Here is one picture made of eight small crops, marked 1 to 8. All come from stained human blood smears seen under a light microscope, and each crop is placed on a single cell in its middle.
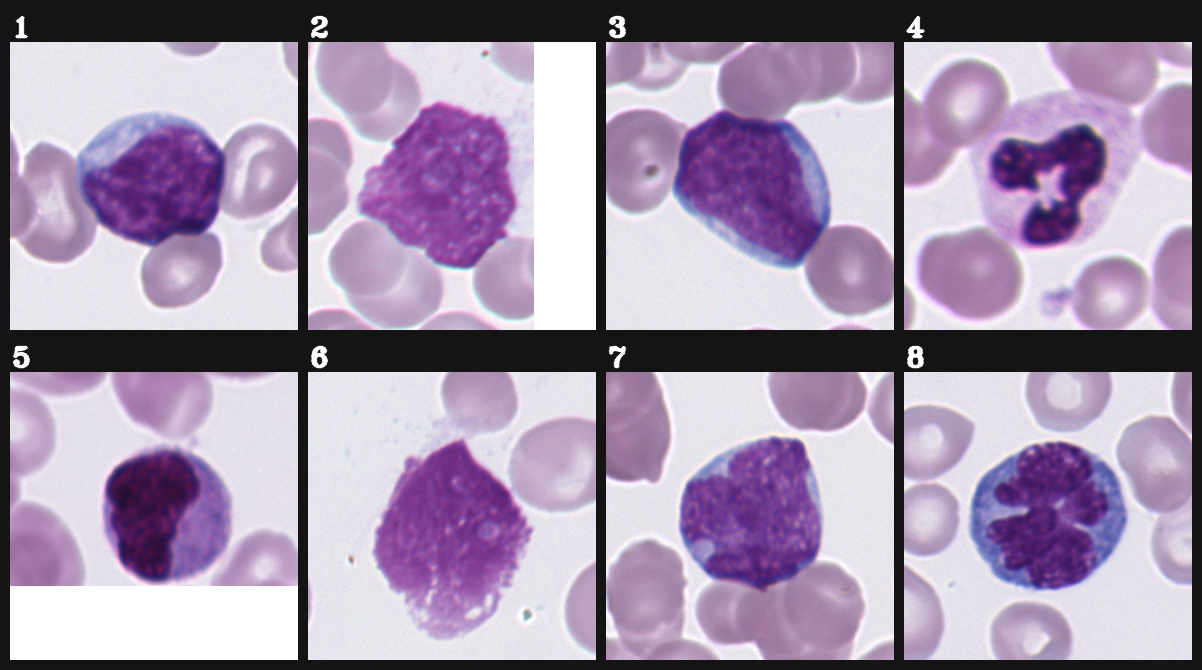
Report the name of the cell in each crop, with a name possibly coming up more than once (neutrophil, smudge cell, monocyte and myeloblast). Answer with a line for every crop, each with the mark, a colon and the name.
1: myeloblast
2: smudge cell
3: myeloblast
4: neutrophil
5: monocyte
6: smudge cell
7: myeloblast
8: monocyte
